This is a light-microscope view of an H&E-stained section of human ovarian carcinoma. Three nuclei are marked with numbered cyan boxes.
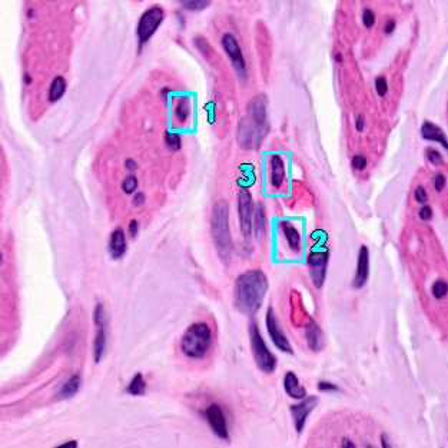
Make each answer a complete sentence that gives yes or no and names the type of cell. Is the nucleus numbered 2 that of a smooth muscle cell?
No, cell 2 is not a smooth muscle cell, but is instead an endothelial cell.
